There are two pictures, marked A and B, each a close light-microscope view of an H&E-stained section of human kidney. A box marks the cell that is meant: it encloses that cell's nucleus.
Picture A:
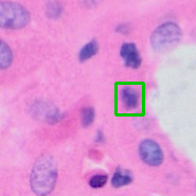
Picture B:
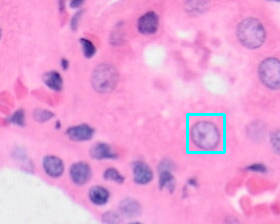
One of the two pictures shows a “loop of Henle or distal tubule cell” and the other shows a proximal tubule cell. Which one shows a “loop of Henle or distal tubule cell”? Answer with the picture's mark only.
A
